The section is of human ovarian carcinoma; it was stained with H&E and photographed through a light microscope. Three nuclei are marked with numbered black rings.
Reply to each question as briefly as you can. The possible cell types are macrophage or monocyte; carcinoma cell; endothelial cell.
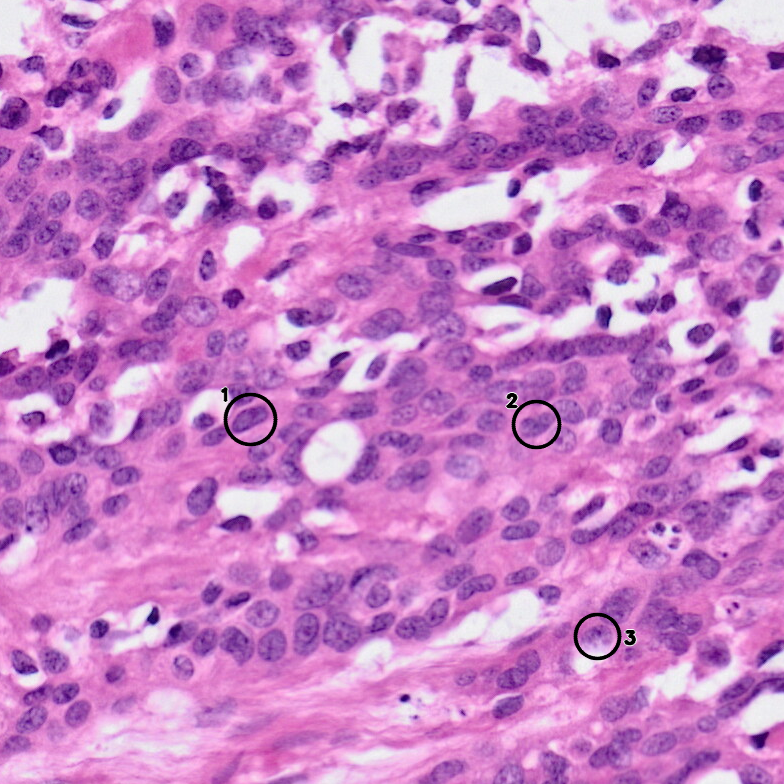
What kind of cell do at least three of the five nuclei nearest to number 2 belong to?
carcinoma cell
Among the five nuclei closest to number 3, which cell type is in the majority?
carcinoma cell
